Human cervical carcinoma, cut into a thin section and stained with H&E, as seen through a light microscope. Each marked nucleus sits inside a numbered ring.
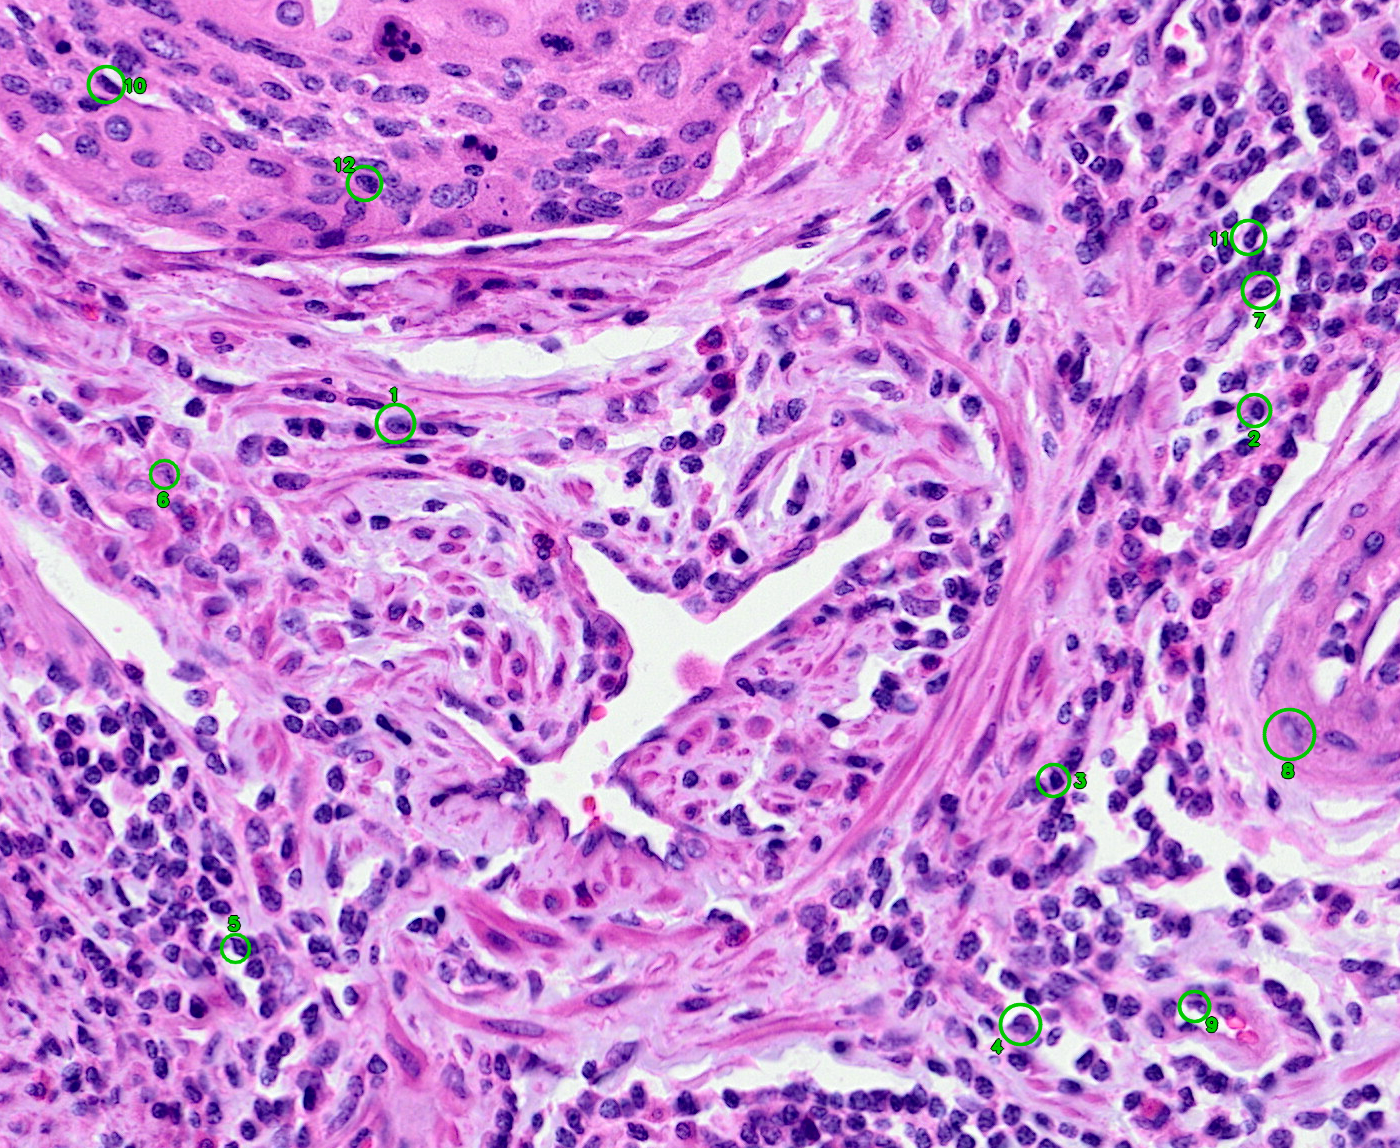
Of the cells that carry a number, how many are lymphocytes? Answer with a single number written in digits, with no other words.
7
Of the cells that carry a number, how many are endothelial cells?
2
